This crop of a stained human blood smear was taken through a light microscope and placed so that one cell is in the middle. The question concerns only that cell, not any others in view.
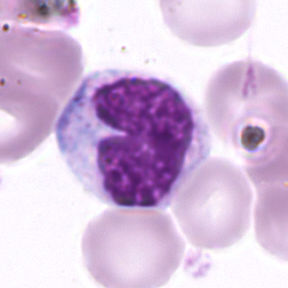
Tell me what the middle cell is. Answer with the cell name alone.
band neutrophil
